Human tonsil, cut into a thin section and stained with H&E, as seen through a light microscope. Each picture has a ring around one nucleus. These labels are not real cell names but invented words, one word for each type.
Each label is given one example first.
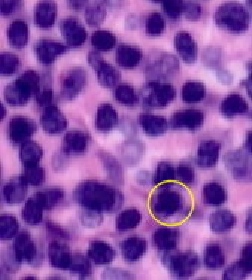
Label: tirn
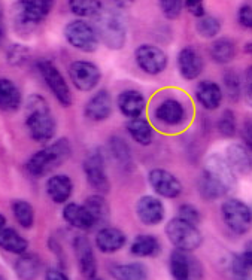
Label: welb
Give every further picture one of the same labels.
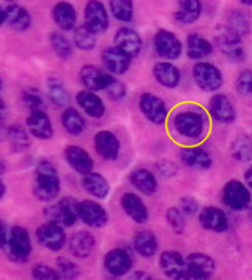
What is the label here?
welb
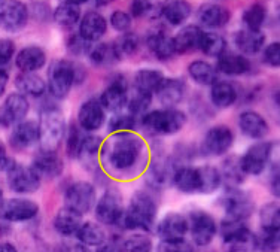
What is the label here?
tirn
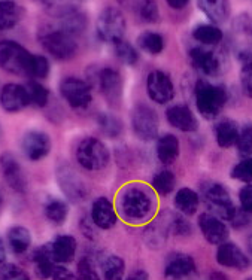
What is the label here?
welb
